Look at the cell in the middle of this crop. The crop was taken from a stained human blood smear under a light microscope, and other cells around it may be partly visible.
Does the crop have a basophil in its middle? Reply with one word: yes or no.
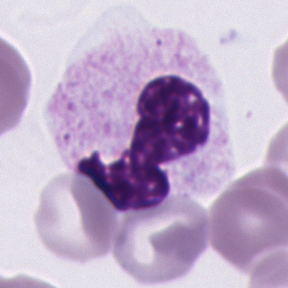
no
